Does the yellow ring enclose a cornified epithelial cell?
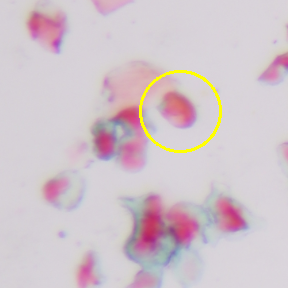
Yes. The ring encloses a cornified epithelial cell.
